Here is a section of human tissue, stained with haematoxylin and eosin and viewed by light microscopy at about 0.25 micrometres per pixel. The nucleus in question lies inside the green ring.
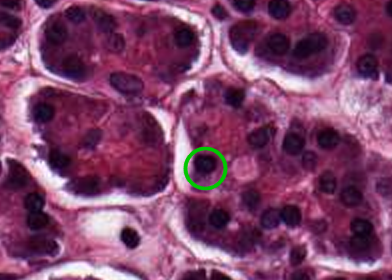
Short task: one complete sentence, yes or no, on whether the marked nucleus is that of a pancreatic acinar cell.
Yes, the cell that houses the marked nucleus is a pancreatic acinar cell.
